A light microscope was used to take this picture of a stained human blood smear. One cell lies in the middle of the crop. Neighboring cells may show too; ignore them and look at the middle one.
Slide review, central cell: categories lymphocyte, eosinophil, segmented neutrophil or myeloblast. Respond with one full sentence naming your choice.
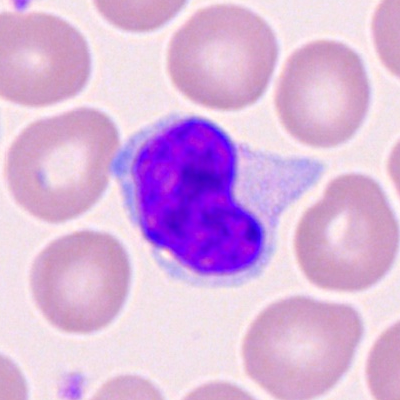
The cell in the middle of the field of view is a lymphocyte.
